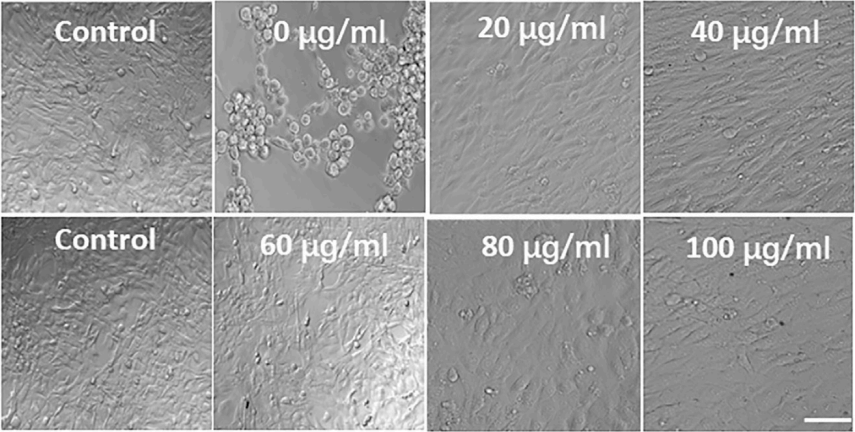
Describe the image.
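In most fields they form a dense, nearly confluent sheet. The cells are flattened and elongated to spindle-shaped or polygonal, lying side by side and partly aligned in streams, with oval nuclei just visible. In one field the sheet is gone. There the cells are rounded, bright-edged and refractile, and they sit in loose clusters and chains over empty background, as cells do when they detach and die. Other fields fall between: the sheet is thinner and a few rounded cells lie on top of the flat layer.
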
